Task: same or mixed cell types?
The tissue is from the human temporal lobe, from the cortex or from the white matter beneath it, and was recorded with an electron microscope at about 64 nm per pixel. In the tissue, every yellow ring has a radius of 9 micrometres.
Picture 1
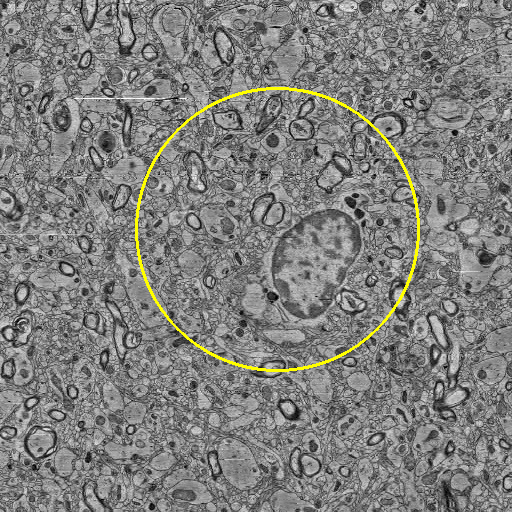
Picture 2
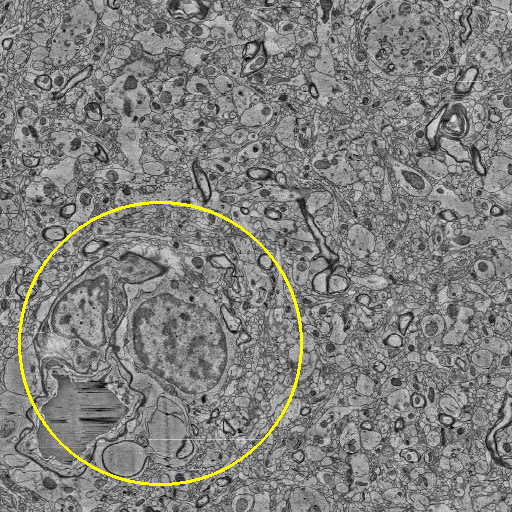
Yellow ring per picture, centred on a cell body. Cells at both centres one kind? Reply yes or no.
no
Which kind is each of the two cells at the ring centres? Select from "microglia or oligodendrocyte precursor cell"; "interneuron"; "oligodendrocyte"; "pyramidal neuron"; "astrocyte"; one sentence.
The cell at the centre of the ring is a microglial cell or oligodendrocyte precursor cell in the first picture and an oligodendrocyte in the second.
